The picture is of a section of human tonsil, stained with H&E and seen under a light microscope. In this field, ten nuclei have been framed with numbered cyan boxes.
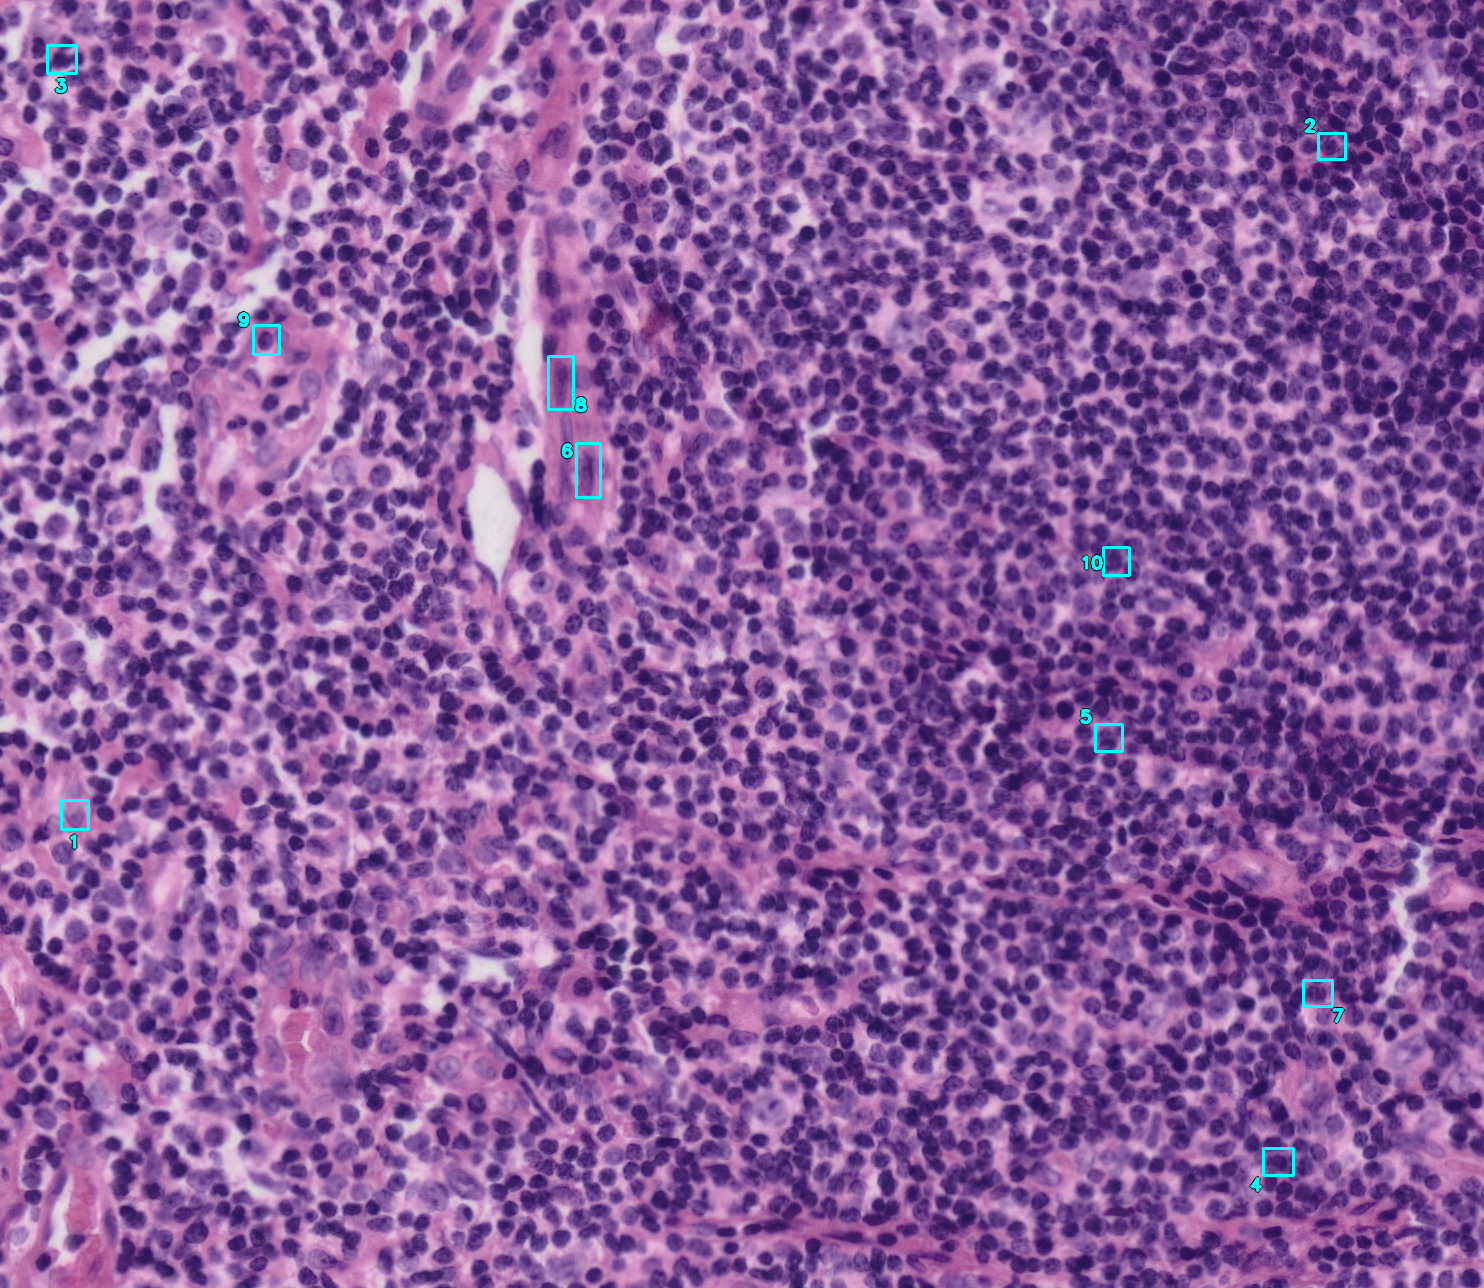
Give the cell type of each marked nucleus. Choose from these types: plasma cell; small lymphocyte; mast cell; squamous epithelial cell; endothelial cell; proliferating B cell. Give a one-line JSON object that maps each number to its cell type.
{"1": "endothelial cell", "2": "small lymphocyte", "3": "small lymphocyte", "4": "small lymphocyte", "5": "small lymphocyte", "6": "endothelial cell", "7": "small lymphocyte", "8": "endothelial cell", "9": "endothelial cell", "10": "small lymphocyte"}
